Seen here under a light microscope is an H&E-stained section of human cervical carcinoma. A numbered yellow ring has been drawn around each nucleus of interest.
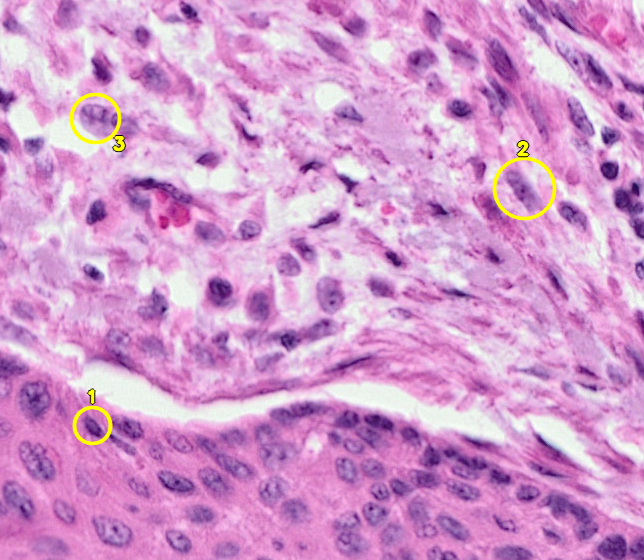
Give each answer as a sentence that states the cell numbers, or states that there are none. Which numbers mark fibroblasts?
In this section, the cells numbered 2 and 3 are fibroblasts.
